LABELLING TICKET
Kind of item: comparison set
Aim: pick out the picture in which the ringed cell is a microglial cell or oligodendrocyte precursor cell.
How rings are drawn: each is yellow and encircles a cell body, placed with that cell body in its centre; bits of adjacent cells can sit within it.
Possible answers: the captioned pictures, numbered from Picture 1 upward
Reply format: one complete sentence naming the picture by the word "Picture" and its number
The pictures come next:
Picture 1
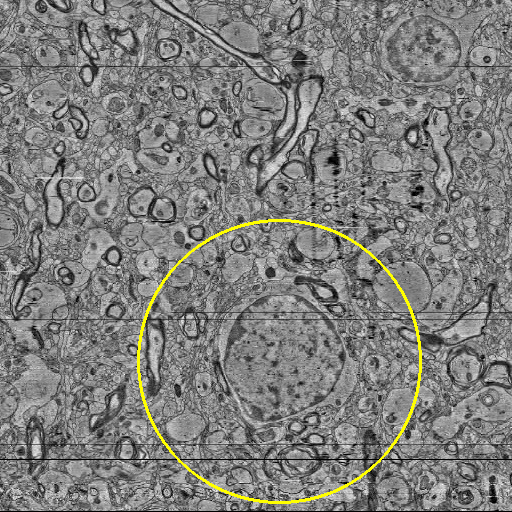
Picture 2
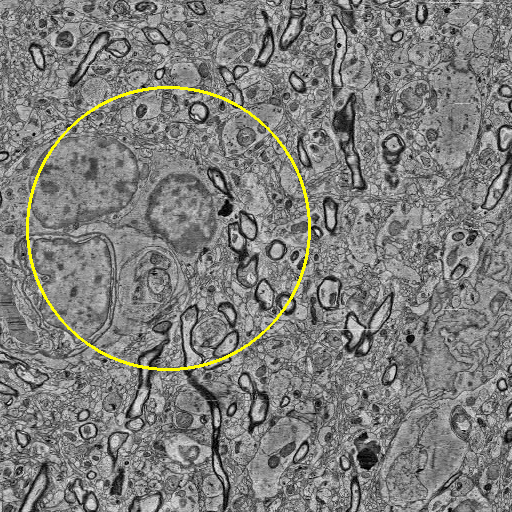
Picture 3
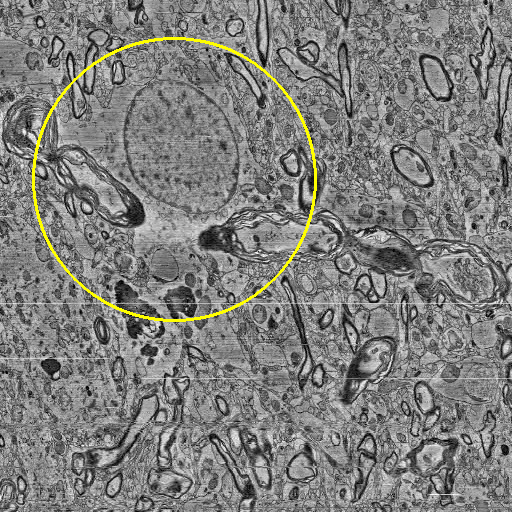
The cell centred inside the yellow ring in Picture 1 is the requested one.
